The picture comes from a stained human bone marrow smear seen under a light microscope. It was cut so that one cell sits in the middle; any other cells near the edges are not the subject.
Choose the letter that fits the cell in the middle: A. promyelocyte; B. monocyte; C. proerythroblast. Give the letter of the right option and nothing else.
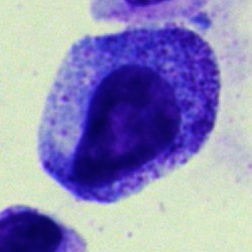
A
